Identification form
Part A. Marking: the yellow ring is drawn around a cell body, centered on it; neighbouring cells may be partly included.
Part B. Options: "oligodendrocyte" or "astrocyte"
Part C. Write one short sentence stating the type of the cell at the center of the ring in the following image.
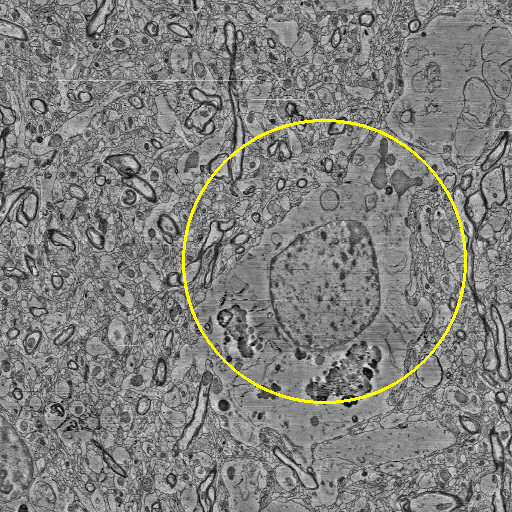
The center of the ring holds an astrocyte.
